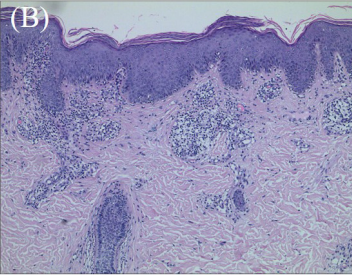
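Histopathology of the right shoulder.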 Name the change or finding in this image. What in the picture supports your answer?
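The epidermis is thickened. Rete ridges reach down to differing depths and widths.
Conclusion: acanthosis with irregular elongation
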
